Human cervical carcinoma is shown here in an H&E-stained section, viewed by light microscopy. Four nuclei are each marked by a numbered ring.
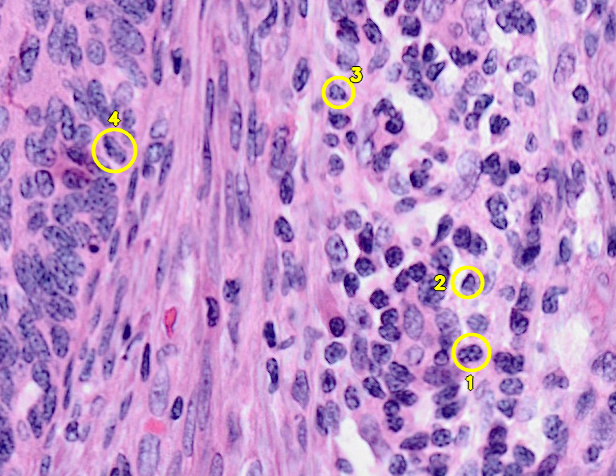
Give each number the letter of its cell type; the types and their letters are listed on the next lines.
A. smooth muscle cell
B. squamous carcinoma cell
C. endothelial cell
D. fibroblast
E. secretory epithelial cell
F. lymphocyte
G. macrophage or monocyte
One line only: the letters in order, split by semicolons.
F; F; F; B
